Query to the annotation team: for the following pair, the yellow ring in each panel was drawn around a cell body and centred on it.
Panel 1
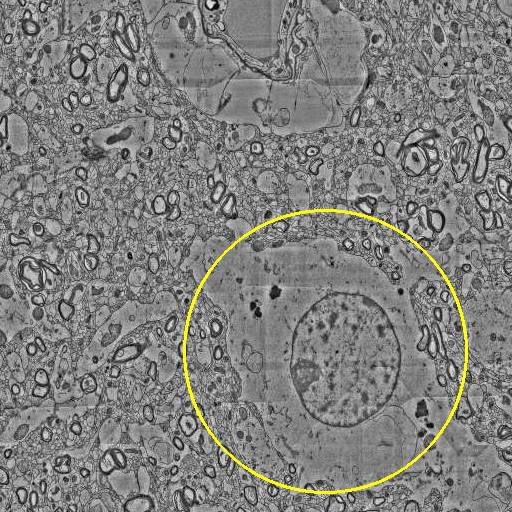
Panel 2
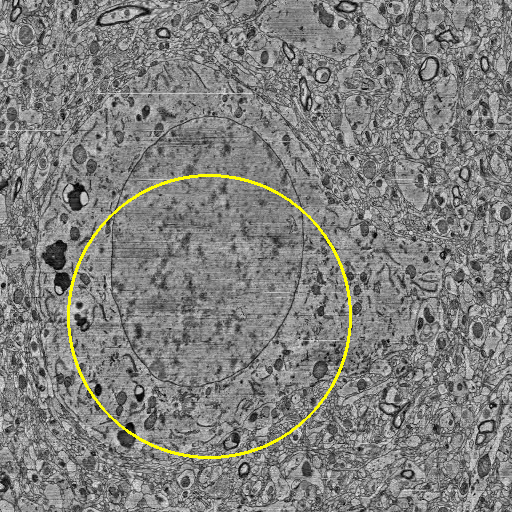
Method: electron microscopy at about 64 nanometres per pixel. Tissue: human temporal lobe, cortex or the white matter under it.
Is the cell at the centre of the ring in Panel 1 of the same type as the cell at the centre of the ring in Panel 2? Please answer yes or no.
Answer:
no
